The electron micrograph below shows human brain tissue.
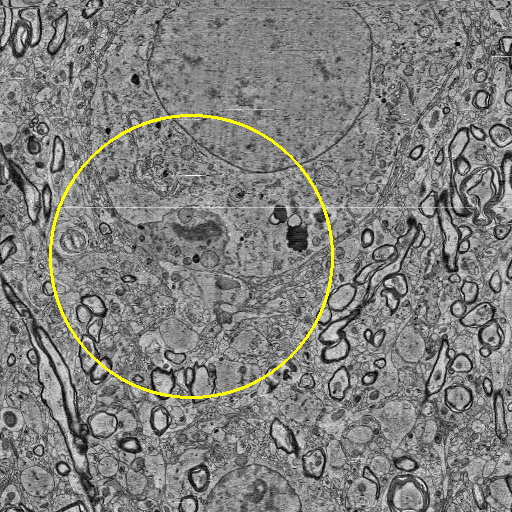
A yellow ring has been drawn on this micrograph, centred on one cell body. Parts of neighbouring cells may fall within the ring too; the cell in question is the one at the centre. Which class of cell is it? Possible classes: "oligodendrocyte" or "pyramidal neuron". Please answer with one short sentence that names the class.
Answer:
In the centre of the ring sits an oligodendrocyte.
